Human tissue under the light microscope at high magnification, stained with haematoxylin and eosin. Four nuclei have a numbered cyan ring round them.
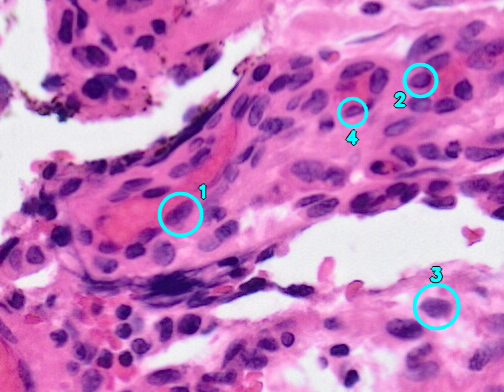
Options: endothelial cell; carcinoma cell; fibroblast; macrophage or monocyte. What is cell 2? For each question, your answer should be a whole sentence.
The cell pointed out by number 2 is an endothelial cell.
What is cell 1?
Recognised here as an endothelial cell is the cell numbered 1.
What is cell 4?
The cell given label 4 is an endothelial cell.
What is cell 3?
The cell referenced by the number 3 is a fibroblast in this field.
